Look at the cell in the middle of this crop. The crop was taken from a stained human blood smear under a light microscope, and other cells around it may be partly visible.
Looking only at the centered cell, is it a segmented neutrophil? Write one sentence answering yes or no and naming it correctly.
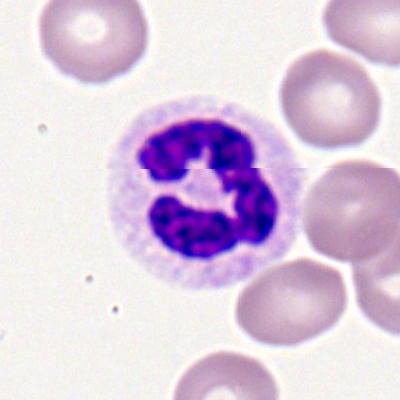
Yes, the central cell is to be recorded as a segmented neutrophil.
